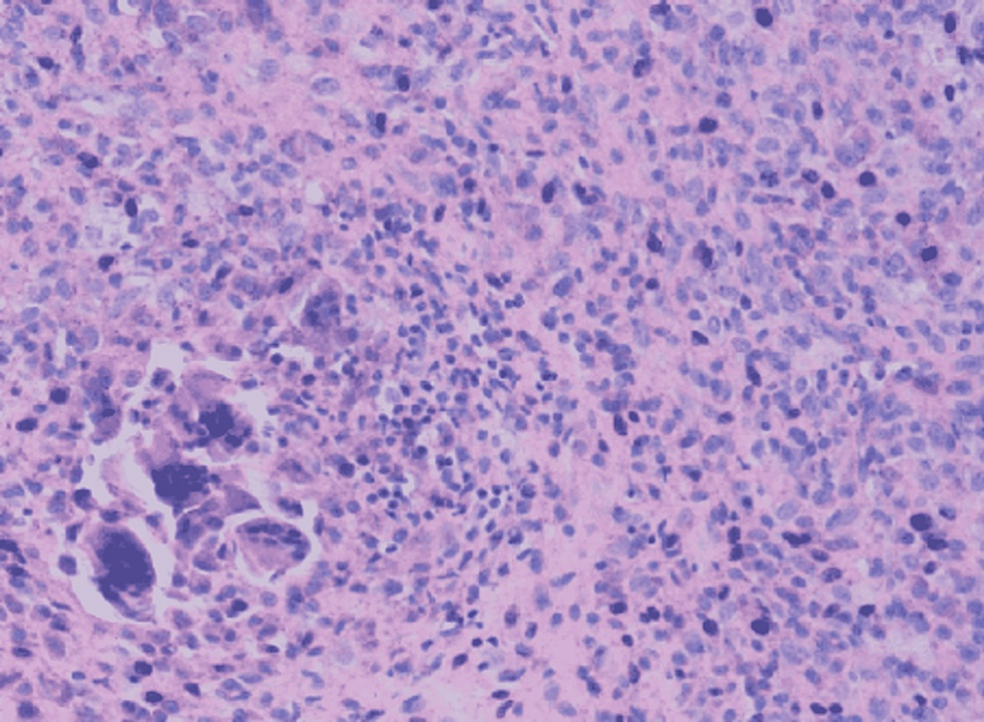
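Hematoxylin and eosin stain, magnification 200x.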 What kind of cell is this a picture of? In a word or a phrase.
Multi-nucleated giant cells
